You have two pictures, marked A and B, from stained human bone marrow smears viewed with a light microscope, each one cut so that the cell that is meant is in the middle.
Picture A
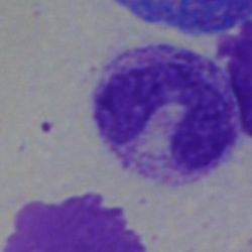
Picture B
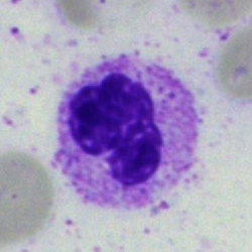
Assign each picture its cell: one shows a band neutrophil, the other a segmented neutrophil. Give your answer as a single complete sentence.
In picture A the cell is a band neutrophil; in picture B, a segmented neutrophil.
